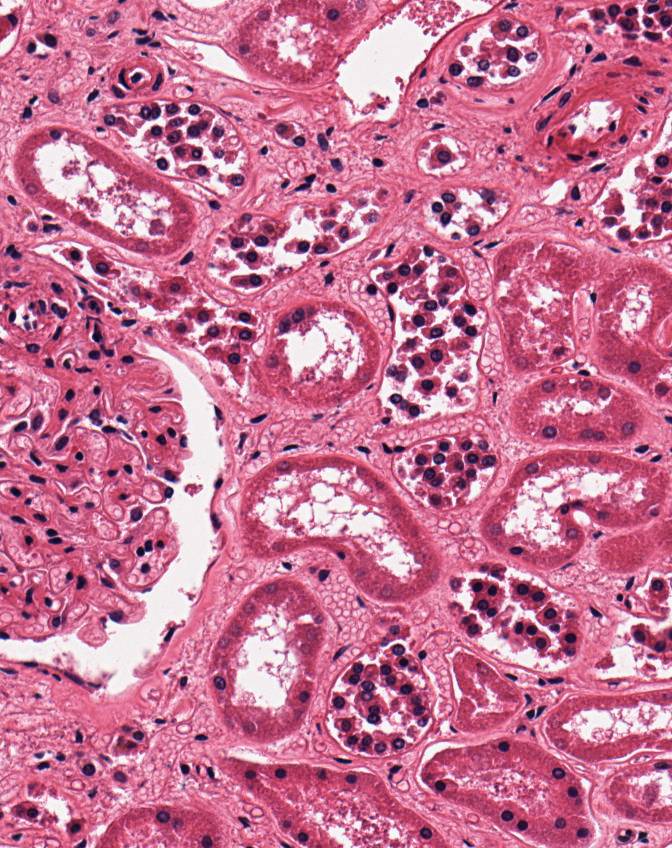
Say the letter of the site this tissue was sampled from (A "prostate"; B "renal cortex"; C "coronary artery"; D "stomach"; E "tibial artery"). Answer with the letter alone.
B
